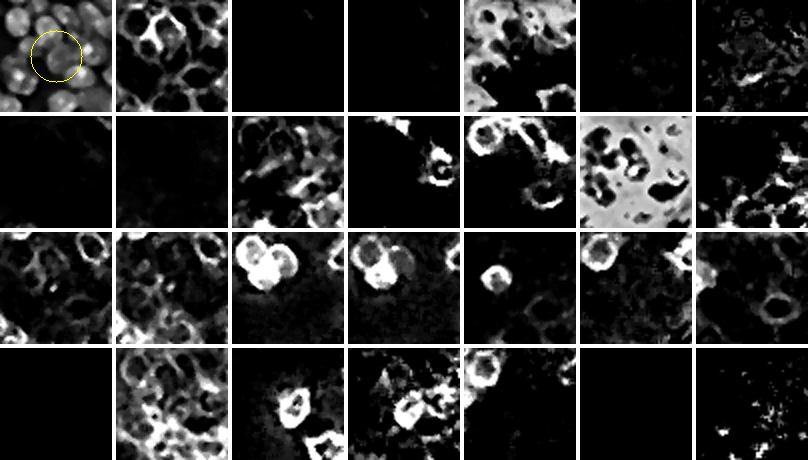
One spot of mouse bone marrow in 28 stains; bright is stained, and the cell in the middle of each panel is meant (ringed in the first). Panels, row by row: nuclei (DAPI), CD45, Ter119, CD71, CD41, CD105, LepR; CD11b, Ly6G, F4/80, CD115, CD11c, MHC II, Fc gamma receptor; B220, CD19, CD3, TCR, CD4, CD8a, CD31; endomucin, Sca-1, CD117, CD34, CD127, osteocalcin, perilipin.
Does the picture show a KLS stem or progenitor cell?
Yes.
